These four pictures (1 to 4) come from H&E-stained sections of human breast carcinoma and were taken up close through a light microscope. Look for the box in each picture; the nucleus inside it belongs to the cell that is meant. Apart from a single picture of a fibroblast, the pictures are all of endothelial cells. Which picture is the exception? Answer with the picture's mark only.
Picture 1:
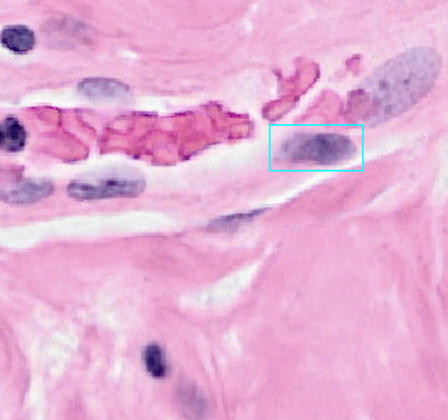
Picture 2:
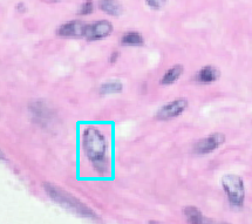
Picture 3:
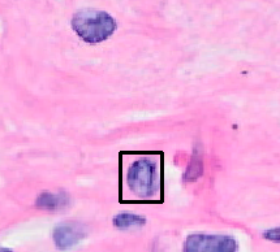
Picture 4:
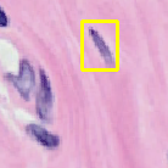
4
